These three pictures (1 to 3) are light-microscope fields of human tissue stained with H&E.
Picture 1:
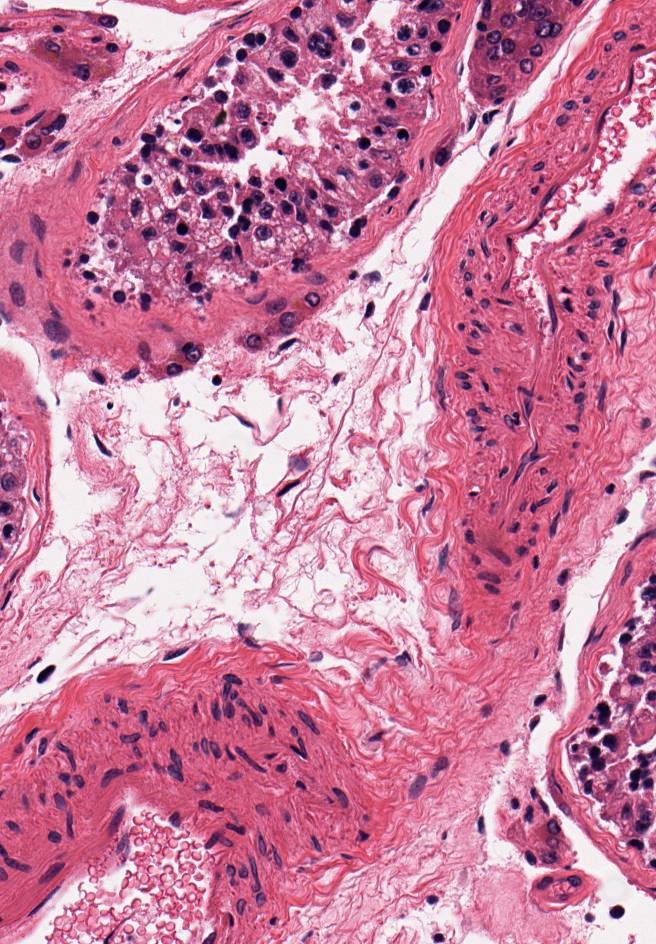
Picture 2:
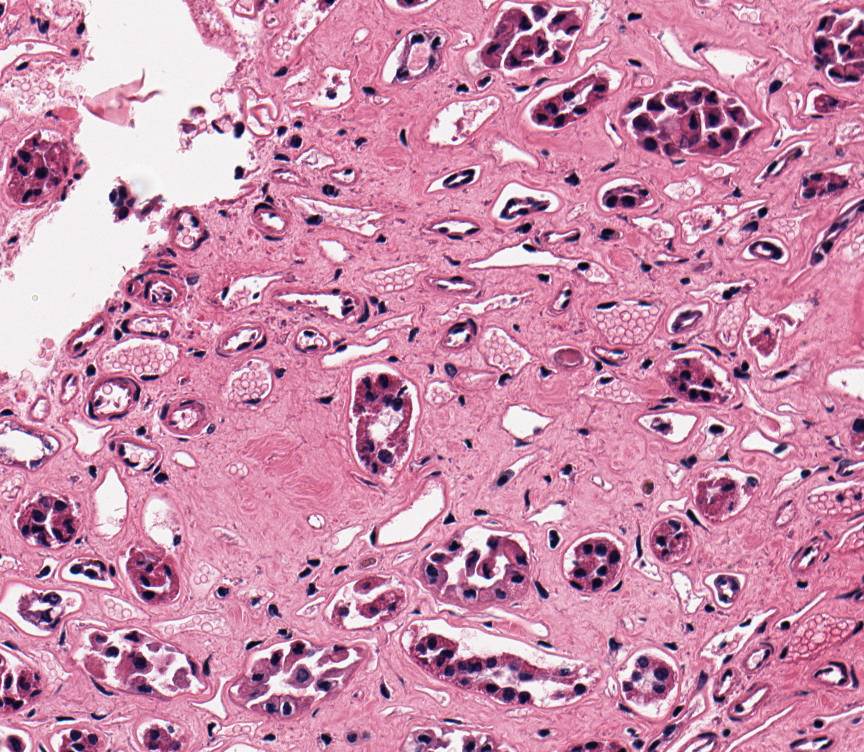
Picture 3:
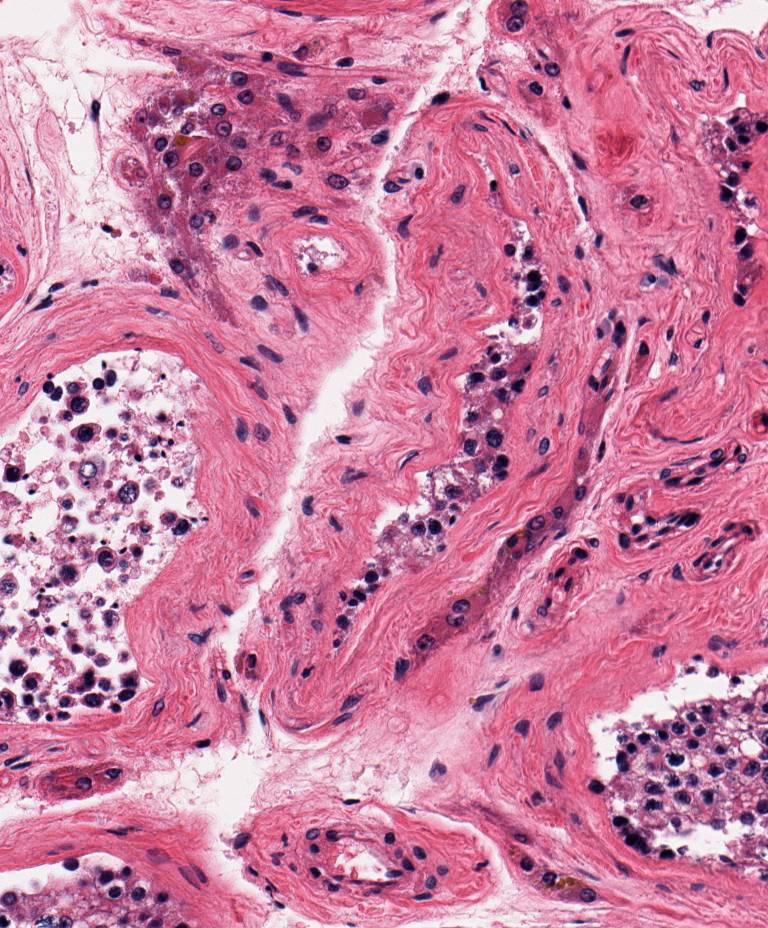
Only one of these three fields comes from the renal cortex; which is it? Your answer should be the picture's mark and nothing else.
2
